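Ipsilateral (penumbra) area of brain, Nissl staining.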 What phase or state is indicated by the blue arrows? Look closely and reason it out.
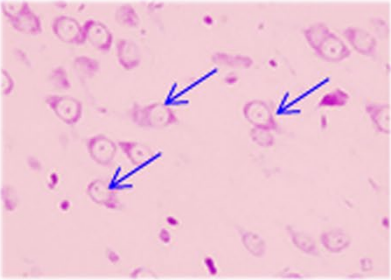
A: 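Intact neurons. Arrowed cells have round, plump cell bodies with pale violet cytoplasm.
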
